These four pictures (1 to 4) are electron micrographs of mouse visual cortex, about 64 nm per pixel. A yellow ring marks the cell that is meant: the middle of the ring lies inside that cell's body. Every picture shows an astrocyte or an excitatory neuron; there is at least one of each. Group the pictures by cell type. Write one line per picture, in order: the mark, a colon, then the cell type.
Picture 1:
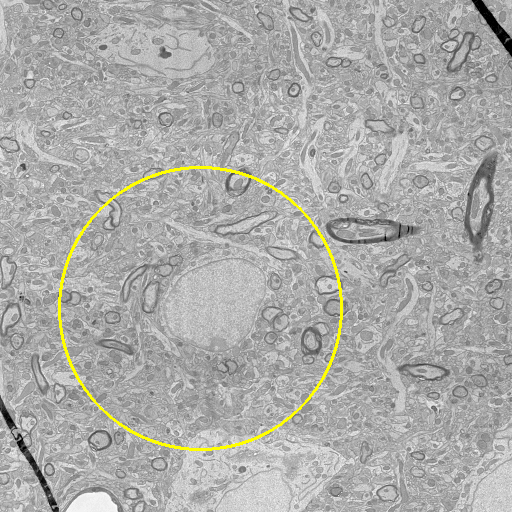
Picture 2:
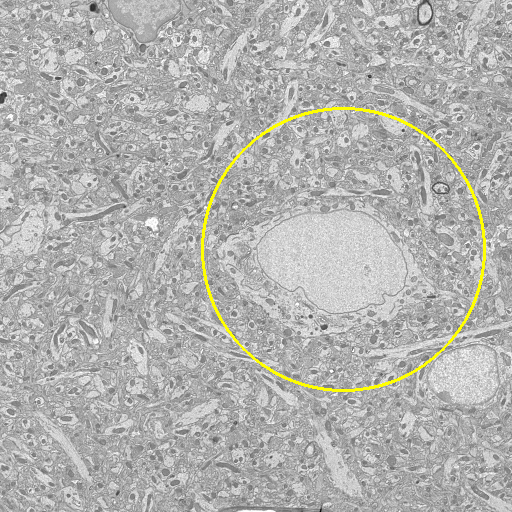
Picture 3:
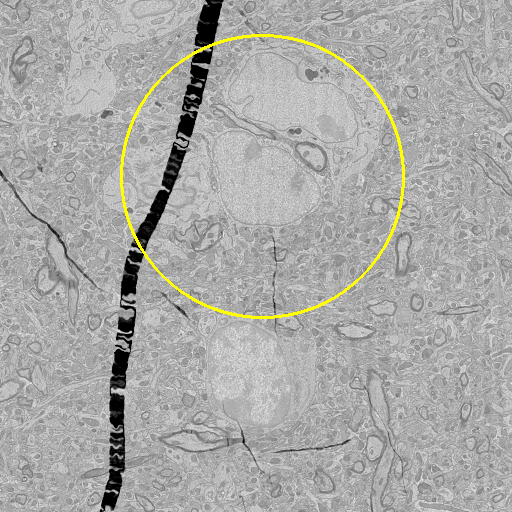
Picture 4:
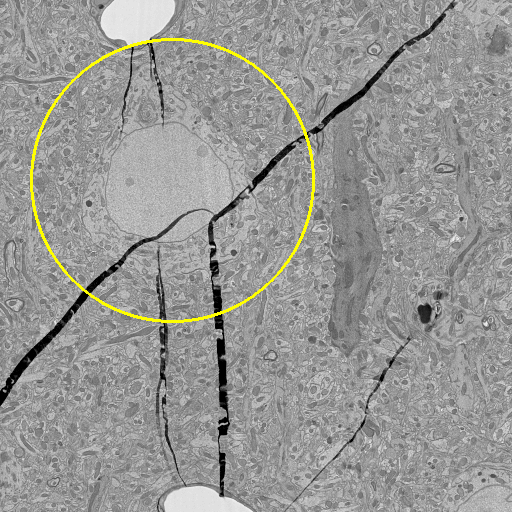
1: astrocyte
2: excitatory neuron
3: astrocyte
4: excitatory neuron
